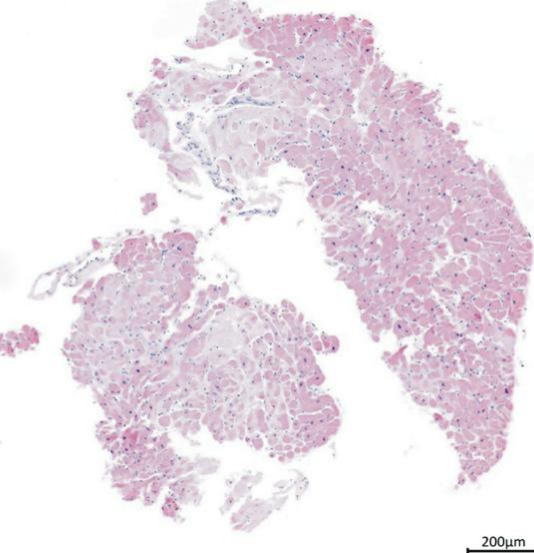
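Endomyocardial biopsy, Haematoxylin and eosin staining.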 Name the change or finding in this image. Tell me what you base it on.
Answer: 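Pale pink, structureless areas lie among the muscle fibres. Some fibres are separated by glassy pink material rather than tightly packed. On this evidence: amorphous eosinophilic material.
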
